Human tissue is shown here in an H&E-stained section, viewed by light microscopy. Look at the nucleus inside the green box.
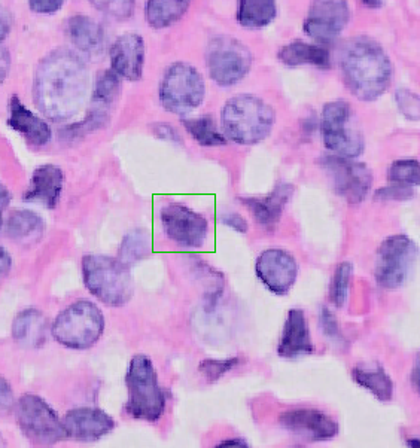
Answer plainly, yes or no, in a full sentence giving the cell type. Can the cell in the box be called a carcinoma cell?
Yes, within this tissue section, the cell in the box is a carcinoma cell.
